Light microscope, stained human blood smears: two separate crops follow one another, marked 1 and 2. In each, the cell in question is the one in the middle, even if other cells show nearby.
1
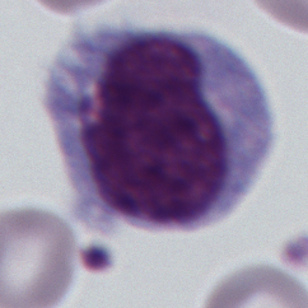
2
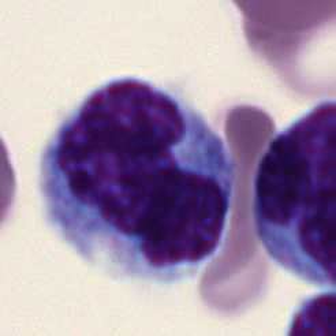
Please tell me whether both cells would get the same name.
yes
